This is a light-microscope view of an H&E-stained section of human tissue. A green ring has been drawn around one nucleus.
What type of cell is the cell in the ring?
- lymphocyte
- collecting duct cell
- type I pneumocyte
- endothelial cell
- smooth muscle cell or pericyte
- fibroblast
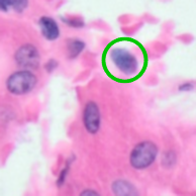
endothelial cell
